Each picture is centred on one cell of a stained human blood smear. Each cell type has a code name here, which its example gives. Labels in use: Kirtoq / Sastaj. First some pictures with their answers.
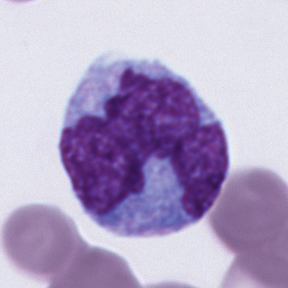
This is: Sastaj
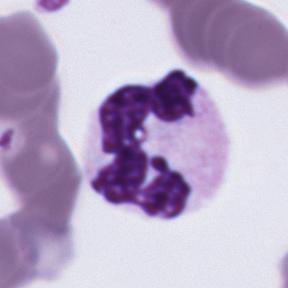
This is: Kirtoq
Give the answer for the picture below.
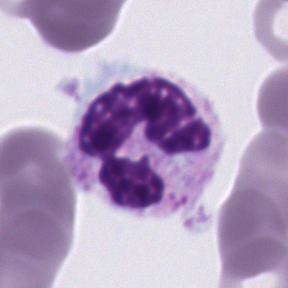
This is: Kirtoq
